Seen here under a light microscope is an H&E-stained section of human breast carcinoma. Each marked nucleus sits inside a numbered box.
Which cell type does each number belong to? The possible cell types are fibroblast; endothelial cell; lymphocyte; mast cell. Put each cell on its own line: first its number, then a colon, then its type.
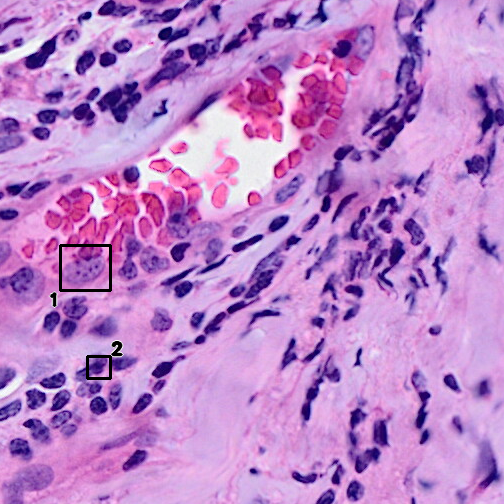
1: endothelial cell
2: lymphocyte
